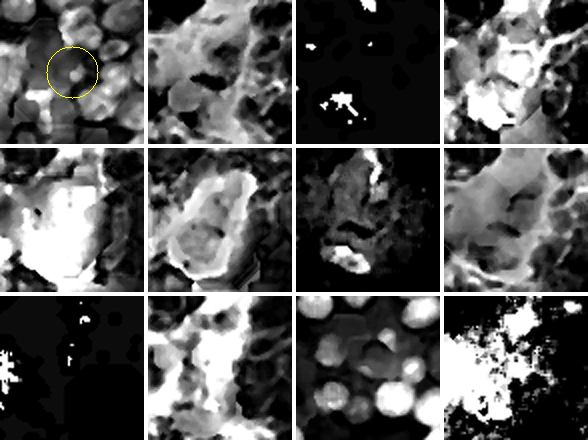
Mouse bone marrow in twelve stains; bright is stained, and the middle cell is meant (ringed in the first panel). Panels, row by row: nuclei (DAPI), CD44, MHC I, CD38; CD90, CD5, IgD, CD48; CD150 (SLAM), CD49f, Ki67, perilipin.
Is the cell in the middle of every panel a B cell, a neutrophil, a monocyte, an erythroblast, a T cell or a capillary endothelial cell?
It is a B cell.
